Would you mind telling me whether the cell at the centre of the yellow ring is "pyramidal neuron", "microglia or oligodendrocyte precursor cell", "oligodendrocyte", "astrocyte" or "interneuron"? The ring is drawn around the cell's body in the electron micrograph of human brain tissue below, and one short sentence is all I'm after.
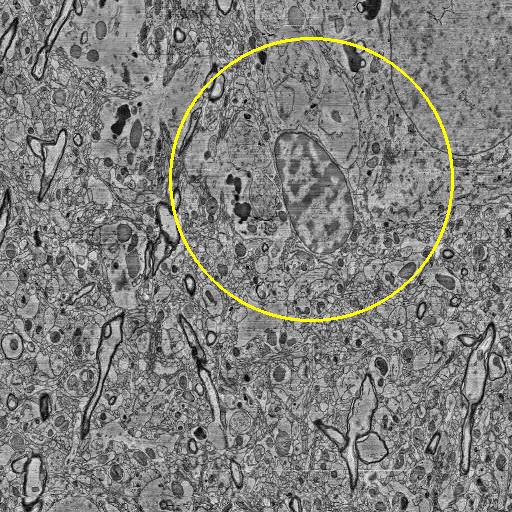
In the centre of the ring lies a microglial cell or oligodendrocyte precursor cell.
